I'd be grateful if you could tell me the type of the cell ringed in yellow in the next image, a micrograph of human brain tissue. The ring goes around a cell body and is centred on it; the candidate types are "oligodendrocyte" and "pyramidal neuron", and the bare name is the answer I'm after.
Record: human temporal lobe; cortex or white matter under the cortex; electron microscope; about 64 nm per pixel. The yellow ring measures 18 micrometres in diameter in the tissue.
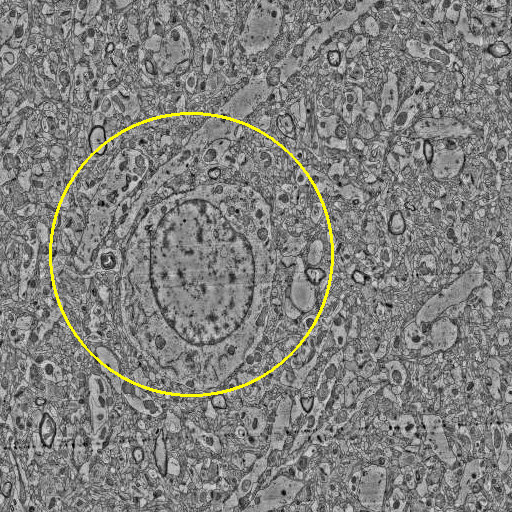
pyramidal neuron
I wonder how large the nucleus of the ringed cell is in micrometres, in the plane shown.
The nucleus comes to roughly 9 by 7 micrometres in this plane.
